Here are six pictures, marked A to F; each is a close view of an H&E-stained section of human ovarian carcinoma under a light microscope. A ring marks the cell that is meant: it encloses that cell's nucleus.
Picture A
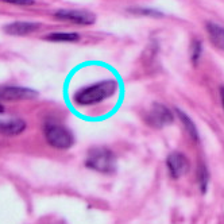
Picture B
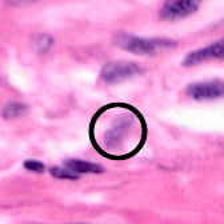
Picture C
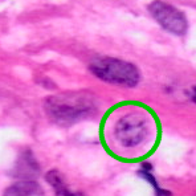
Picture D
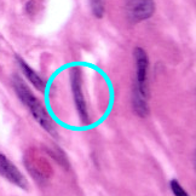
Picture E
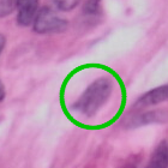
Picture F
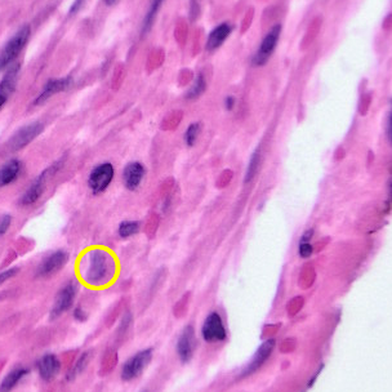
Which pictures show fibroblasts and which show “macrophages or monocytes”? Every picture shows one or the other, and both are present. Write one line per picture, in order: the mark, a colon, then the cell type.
A: macrophage or monocyte
B: fibroblast
C: macrophage or monocyte
D: fibroblast
E: fibroblast
F: fibroblast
